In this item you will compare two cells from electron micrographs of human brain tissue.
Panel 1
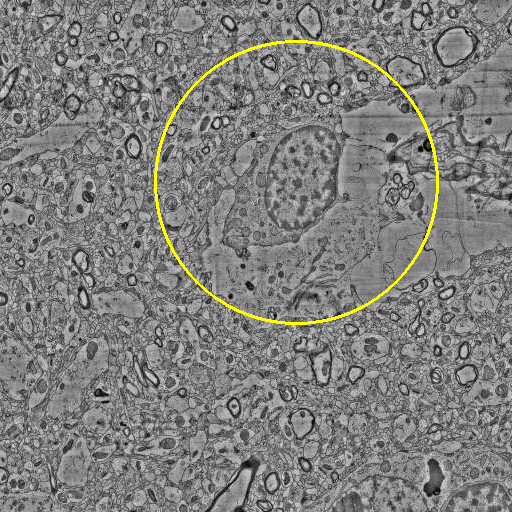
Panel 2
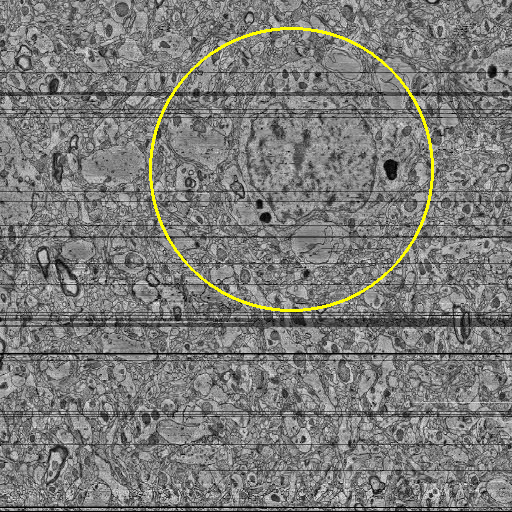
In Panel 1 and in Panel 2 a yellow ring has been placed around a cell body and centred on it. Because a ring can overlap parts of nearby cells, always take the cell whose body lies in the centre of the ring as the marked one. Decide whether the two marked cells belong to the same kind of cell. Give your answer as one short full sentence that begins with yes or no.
No, the two marked cells belong to two kinds of cell.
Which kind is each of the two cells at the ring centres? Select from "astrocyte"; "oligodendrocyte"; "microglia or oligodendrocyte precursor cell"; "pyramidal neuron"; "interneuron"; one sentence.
The cell at the centre of the ring is an oligodendrocyte in the first picture and an interneuron in the second.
